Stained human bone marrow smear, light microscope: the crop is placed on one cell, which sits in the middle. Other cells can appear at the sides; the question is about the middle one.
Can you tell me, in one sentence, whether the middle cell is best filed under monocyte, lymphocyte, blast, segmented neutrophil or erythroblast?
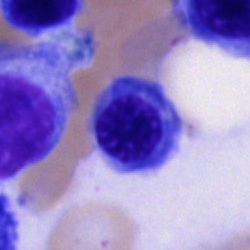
The cell centered in this field of view is an erythroblast.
